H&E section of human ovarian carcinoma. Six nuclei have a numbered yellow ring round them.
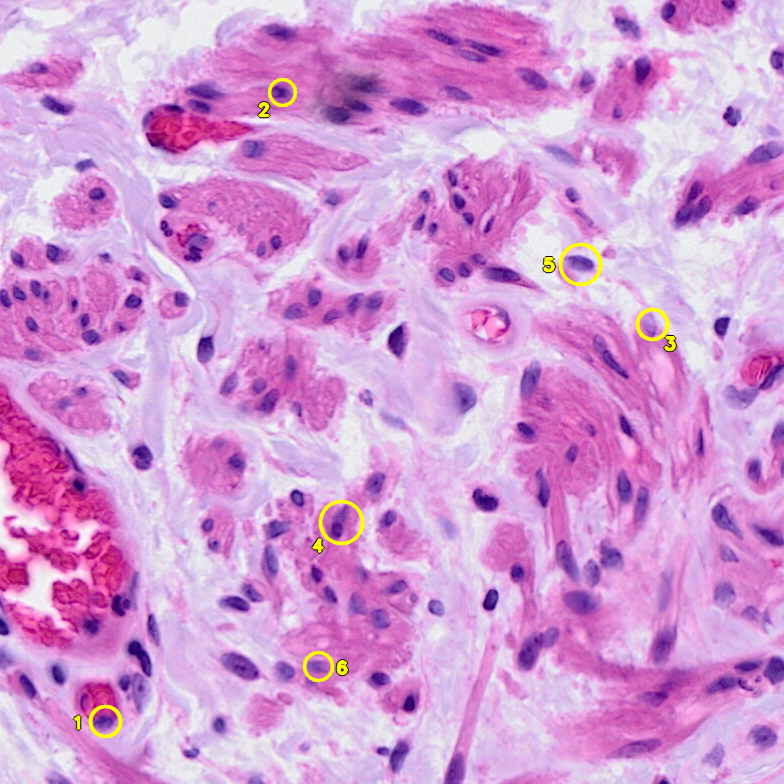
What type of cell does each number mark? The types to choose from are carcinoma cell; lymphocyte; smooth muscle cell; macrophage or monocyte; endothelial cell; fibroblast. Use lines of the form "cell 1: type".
cell 1: endothelial cell
cell 2: smooth muscle cell
cell 3: smooth muscle cell
cell 4: smooth muscle cell
cell 5: fibroblast
cell 6: smooth muscle cell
